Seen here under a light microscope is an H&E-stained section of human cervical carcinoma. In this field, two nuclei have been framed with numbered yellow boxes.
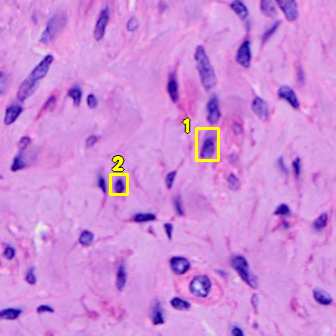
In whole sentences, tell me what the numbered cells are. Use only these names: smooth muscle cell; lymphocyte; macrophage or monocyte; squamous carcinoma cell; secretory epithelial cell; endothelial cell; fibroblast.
Cell 1 is a smooth muscle cell and cell 2 is a fibroblast.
